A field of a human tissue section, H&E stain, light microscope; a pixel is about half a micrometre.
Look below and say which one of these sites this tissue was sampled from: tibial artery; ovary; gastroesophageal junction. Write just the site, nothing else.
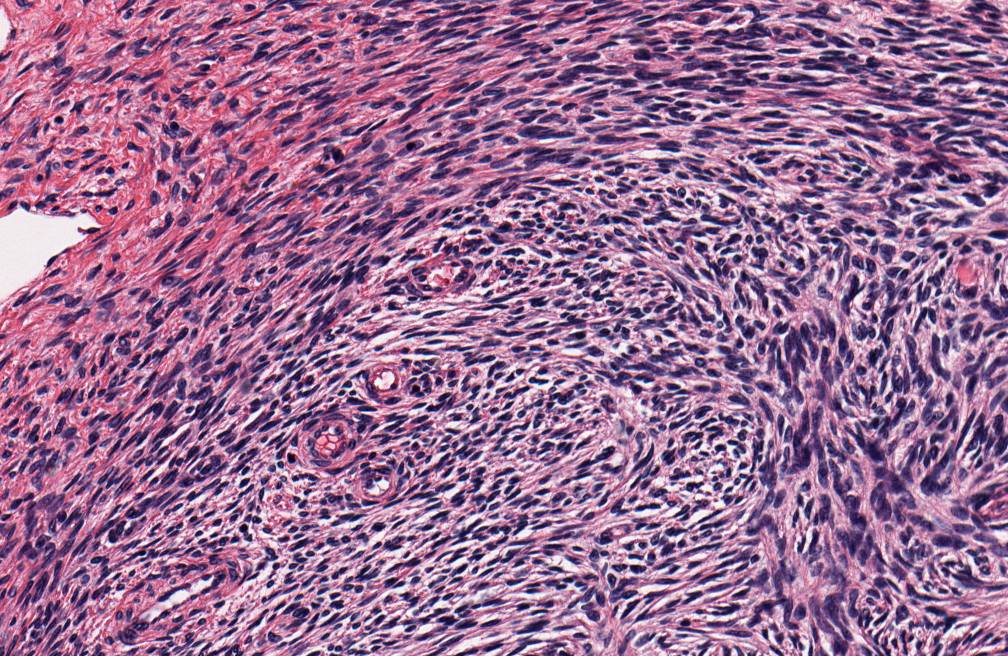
ovary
